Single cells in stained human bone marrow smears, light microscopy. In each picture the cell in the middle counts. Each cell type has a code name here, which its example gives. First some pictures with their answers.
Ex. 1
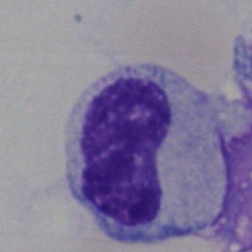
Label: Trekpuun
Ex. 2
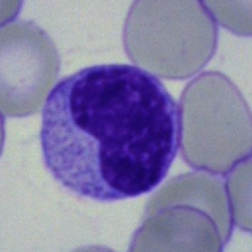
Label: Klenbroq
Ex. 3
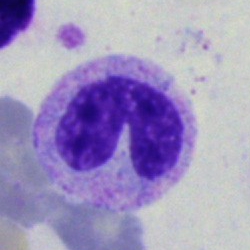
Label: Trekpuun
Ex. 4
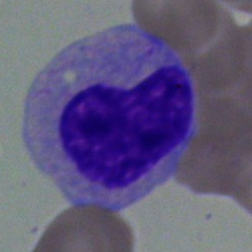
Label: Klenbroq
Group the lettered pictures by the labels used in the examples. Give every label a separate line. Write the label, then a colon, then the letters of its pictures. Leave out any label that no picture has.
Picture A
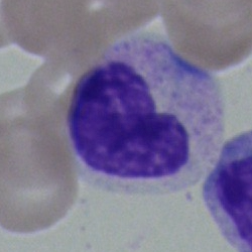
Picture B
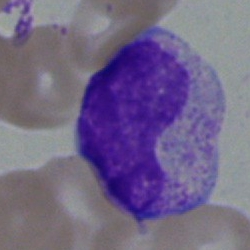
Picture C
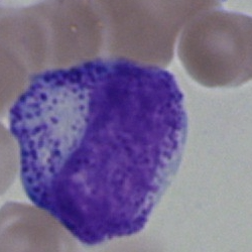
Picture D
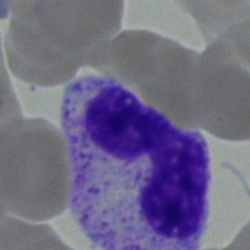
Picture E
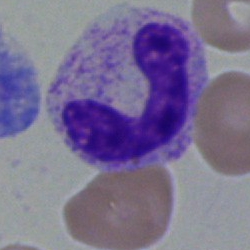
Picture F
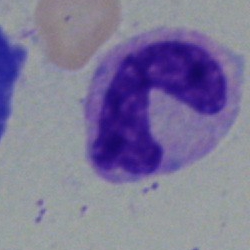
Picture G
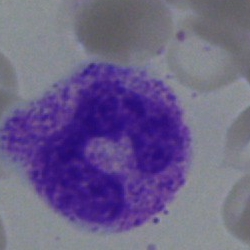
Trekpuun: D, E, F, G
Klenbroq: A, B, C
